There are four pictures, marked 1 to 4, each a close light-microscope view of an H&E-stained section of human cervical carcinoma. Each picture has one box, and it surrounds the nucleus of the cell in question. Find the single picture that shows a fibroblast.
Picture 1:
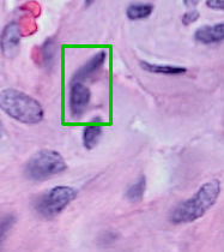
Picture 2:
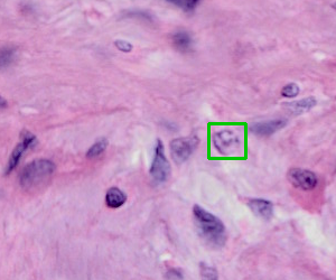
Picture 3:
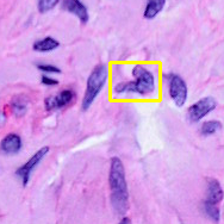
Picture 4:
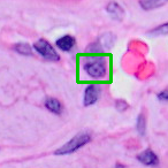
1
